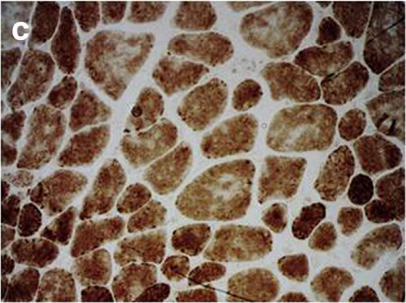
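Skeletal muscle fibres in cross-section, polygonal to rounded, separated by pale interstitial spaces. The brown stain within fibres is coarse and granular rather than even. Many fibres contain irregular pale, unstained patches, giving a moth eaten appearance. Staining intensity varies from fibre to fibre, some being dark brown and others much paler.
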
